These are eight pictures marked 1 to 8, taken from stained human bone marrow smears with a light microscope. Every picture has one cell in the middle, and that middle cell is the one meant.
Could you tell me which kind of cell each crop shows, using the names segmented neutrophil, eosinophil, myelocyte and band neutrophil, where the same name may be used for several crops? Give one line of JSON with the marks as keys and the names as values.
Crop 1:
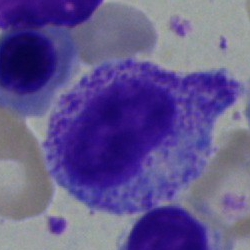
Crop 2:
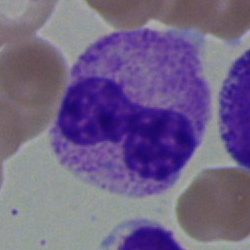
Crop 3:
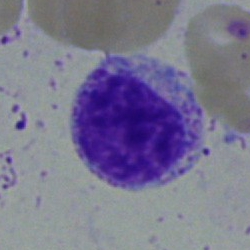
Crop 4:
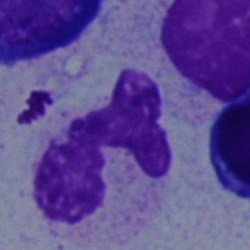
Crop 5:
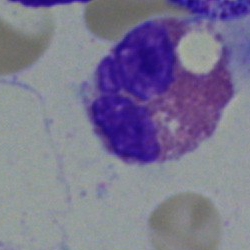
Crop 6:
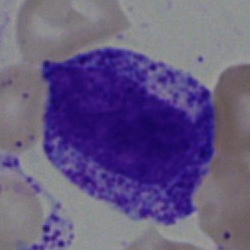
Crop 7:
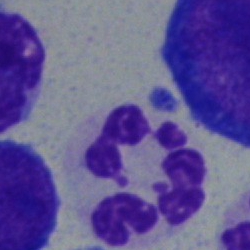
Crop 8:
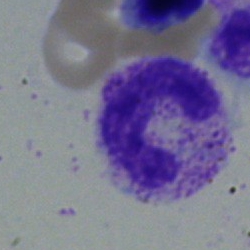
{"1": "myelocyte", "2": "band neutrophil", "3": "myelocyte", "4": "band neutrophil", "5": "eosinophil", "6": "myelocyte", "7": "segmented neutrophil", "8": "band neutrophil"}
